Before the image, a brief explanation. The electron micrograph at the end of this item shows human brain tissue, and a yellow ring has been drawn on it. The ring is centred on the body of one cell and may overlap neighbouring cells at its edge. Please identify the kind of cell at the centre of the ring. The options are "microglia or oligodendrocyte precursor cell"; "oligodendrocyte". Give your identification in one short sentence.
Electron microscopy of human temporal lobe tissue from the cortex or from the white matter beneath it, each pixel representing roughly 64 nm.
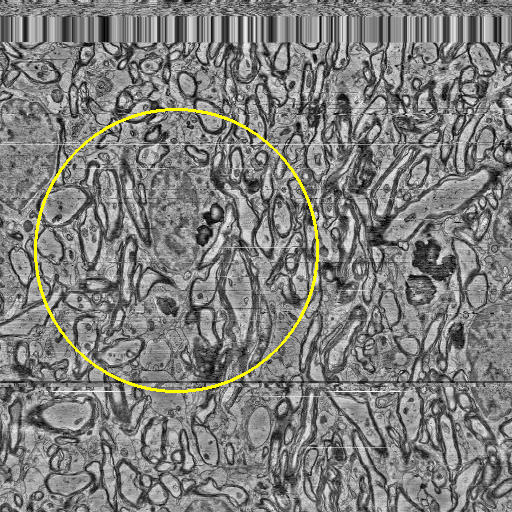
The ring has been placed around an oligodendrocyte.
